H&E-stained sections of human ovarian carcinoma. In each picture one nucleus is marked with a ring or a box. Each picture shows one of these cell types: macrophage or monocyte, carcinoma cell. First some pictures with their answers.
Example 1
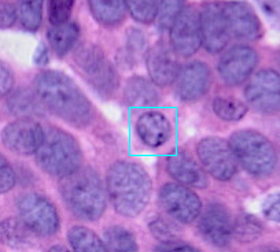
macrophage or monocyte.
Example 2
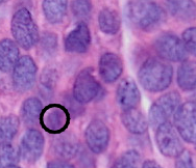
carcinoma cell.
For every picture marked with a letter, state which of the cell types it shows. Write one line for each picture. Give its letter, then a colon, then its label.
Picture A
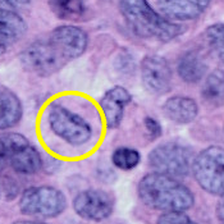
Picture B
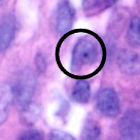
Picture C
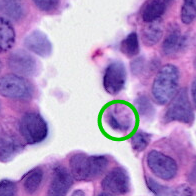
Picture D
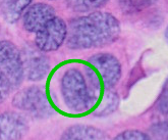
A: macrophage or monocyte.
B: macrophage or monocyte.
C: macrophage or monocyte.
D: carcinoma cell.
